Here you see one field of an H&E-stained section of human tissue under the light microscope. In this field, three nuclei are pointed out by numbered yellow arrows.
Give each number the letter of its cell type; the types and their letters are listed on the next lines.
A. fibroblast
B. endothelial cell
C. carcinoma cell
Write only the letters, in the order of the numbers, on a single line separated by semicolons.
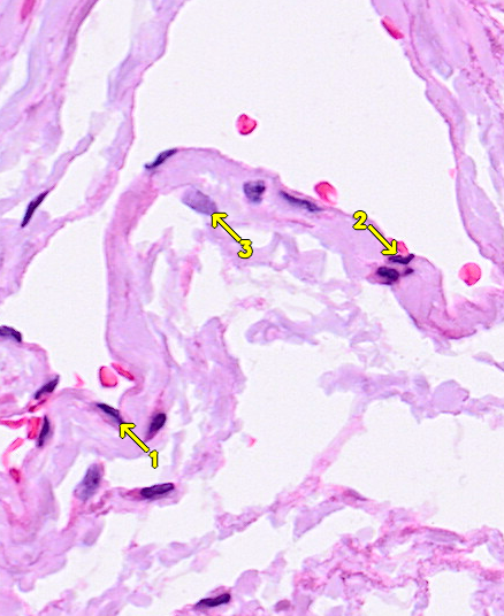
B; B; A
